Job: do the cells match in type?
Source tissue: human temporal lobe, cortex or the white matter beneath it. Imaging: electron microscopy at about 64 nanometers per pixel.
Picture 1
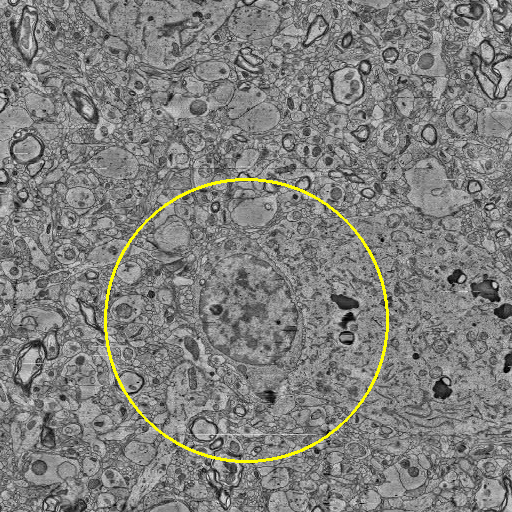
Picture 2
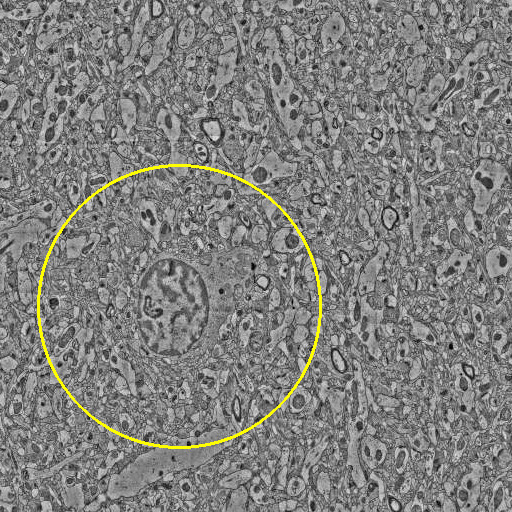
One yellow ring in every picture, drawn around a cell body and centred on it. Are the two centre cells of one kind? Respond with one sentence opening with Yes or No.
Yes, the ringed cells in the two pictures are of one and the same kind.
